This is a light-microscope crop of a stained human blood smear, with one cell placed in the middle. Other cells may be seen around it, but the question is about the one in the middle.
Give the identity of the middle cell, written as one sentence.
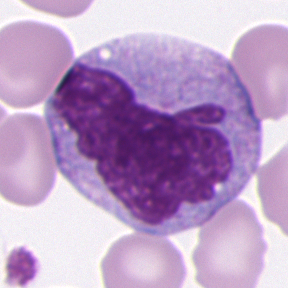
At the crop's centre, the cell is a monocyte.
